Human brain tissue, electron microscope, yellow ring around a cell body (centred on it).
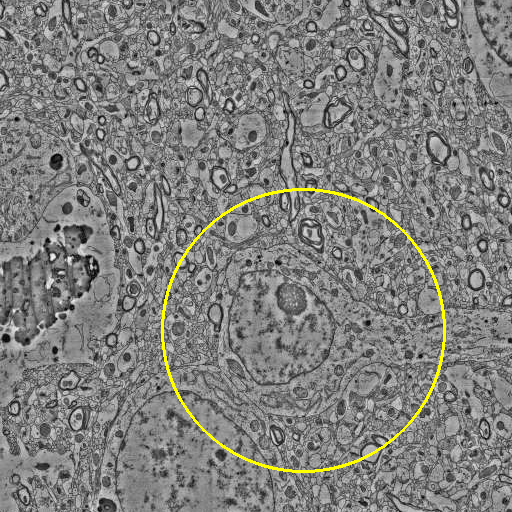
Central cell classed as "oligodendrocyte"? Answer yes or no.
no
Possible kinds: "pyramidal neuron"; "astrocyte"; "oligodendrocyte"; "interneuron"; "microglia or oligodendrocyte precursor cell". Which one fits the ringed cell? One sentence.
The cell shown in the ring is a pyramidal neuron.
